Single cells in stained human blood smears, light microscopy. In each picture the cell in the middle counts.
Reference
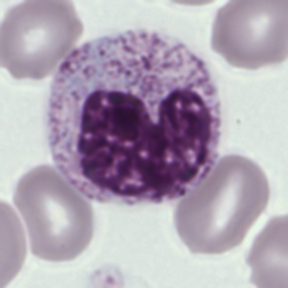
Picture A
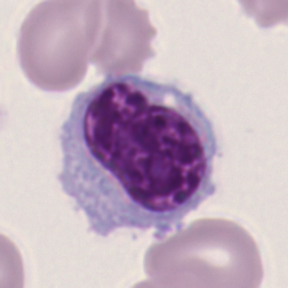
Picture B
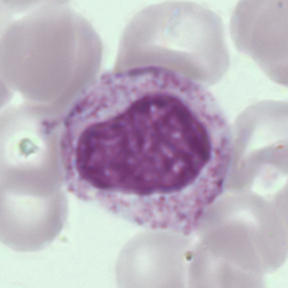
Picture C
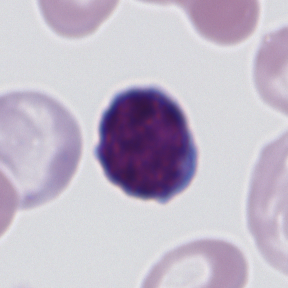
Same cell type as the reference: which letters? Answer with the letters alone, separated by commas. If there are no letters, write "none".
B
